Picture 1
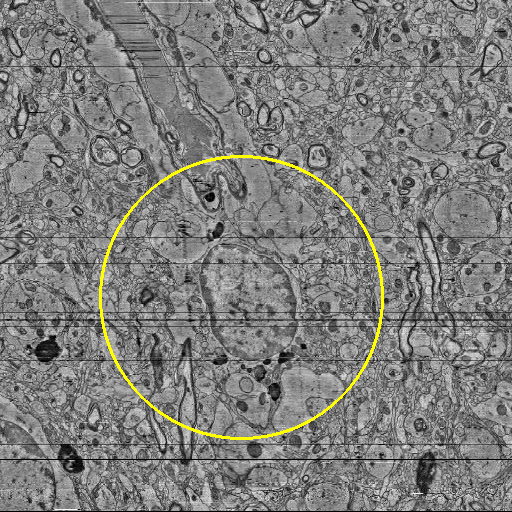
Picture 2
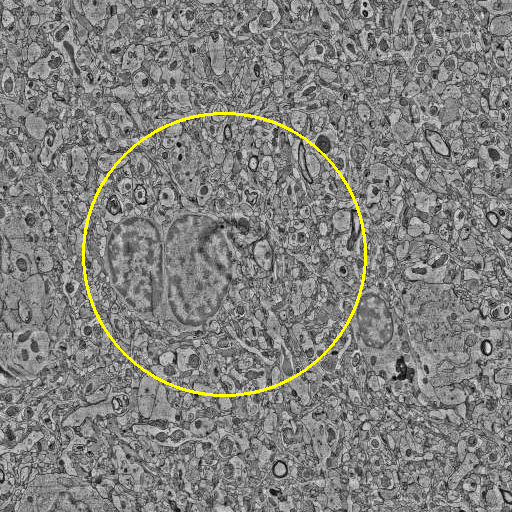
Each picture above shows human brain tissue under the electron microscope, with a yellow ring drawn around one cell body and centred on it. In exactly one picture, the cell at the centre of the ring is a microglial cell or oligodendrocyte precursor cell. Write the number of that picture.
1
